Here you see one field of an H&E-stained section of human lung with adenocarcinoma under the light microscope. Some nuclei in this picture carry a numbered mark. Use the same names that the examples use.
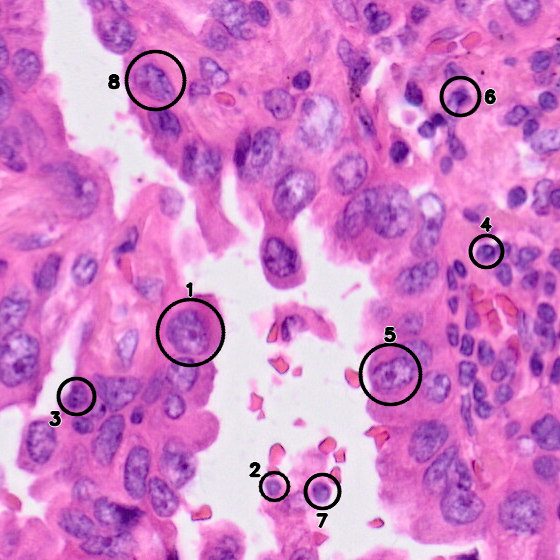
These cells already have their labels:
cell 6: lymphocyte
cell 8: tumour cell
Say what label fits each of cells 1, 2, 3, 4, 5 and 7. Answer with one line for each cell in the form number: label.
1: tumour cell
2: lymphocyte
3: tumour cell
4: lymphocyte
5: tumour cell
7: lymphocyte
